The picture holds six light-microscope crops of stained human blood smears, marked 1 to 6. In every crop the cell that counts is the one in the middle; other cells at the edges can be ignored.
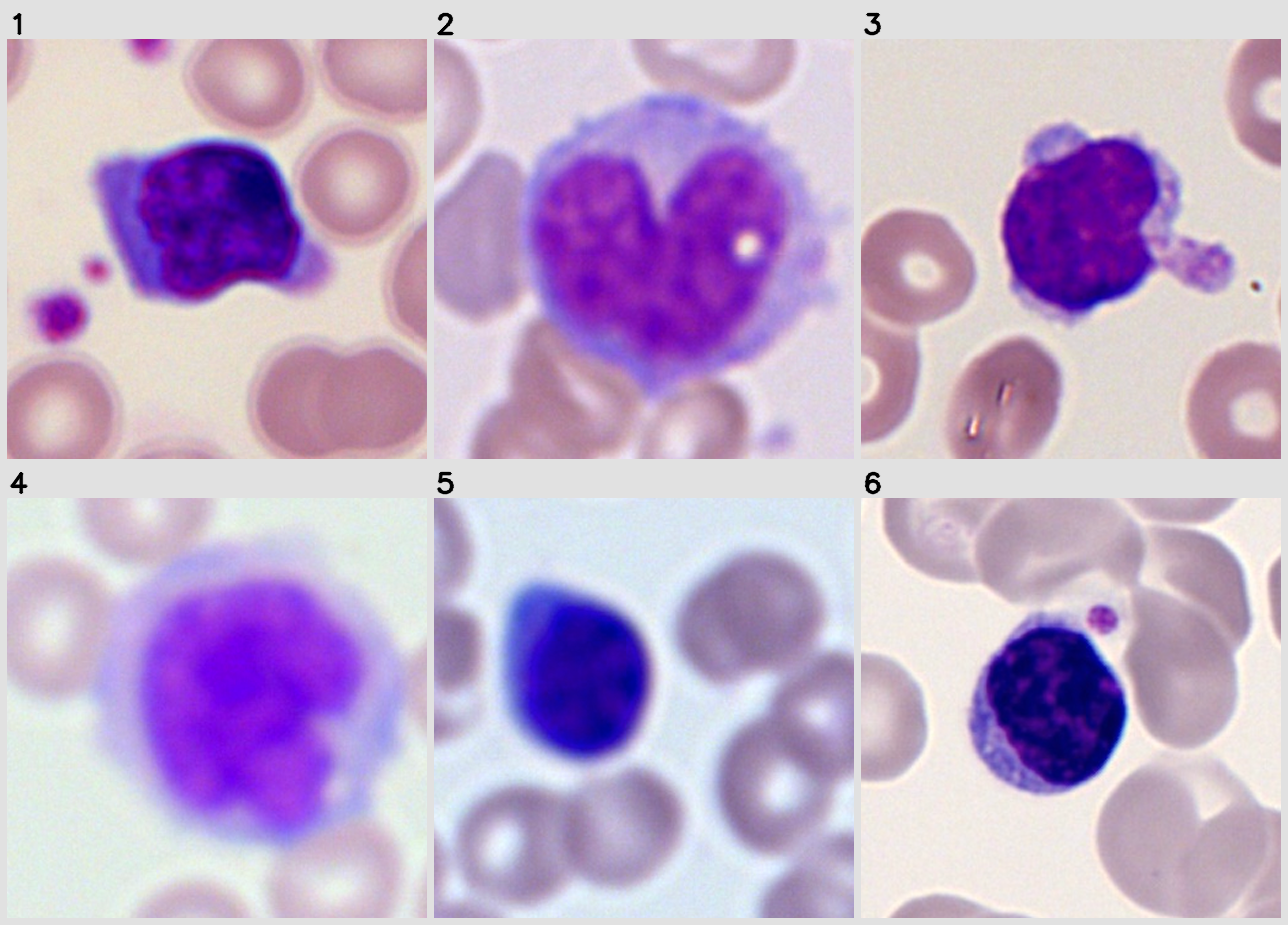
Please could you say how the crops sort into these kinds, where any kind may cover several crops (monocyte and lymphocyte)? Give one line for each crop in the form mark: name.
1: lymphocyte
2: monocyte
3: lymphocyte
4: monocyte
5: lymphocyte
6: lymphocyte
